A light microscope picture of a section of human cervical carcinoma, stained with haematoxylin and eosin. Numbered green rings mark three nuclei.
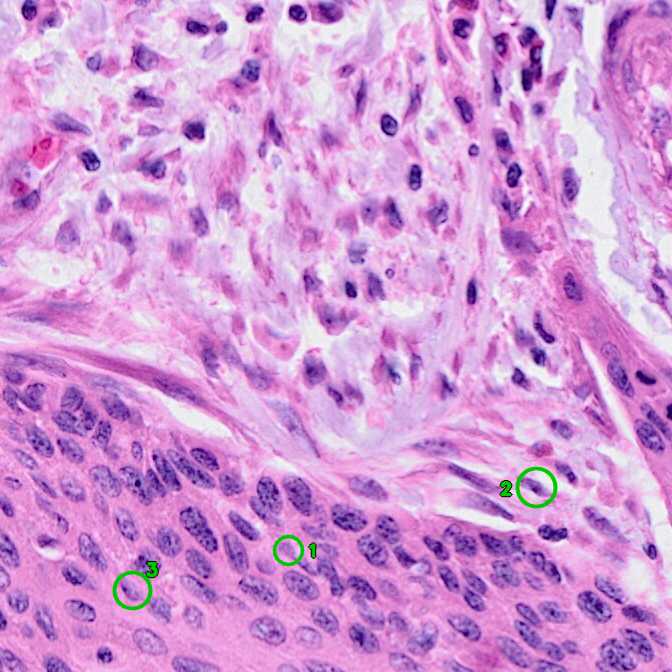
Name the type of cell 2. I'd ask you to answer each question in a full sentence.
Cell 2 in the field is a fibroblast.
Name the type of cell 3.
The one labeled 3 is a squamous carcinoma cell, to put it simply.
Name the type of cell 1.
The marked nucleus 1 is that of a squamous carcinoma cell.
